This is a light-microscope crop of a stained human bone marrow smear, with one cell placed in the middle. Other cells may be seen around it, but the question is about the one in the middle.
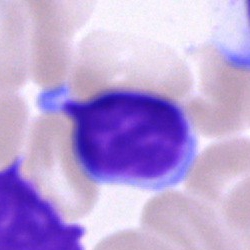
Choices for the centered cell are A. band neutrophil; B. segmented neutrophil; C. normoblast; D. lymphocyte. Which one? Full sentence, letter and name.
In this crop the central cell is a lymphocyte, which option D correctly states.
